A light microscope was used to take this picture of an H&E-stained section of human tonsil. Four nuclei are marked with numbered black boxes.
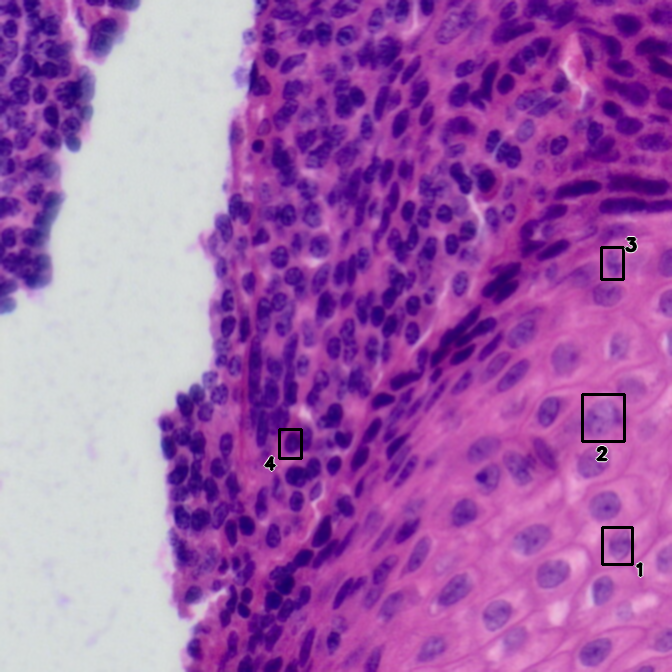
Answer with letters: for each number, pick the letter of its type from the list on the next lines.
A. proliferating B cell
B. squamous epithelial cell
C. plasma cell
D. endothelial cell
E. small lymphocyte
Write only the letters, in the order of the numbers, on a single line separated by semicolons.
B; B; B; C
